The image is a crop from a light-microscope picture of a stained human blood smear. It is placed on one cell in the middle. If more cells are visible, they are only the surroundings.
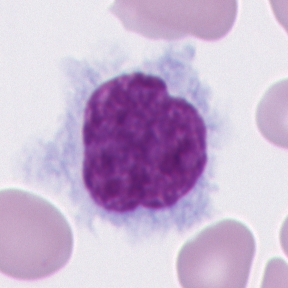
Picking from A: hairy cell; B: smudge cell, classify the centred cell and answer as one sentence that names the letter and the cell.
Given that the cell in the middle is a hairy cell, option A is correct.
